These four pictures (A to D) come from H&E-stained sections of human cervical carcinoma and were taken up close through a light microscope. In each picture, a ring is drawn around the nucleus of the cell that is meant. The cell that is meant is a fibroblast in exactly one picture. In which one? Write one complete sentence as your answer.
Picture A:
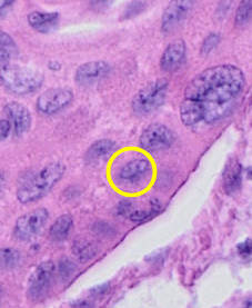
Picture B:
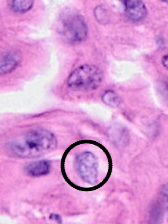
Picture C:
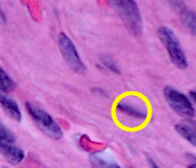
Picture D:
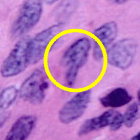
Picture C shows the fibroblast.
